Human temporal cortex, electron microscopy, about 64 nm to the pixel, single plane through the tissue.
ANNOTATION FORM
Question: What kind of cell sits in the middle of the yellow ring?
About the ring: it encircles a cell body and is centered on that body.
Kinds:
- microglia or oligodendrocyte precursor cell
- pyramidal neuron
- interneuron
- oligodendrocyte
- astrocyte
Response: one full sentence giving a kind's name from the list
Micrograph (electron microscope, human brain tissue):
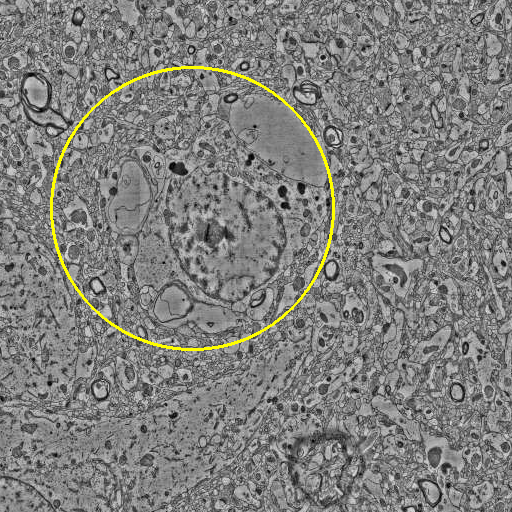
The kind of cell found at the center of the yellow ring in the micrograph is an interneuron.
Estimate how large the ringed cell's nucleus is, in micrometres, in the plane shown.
The nucleus has a long axis of about 8 micrometres and a short axis of about 7 micrometres in this plane.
